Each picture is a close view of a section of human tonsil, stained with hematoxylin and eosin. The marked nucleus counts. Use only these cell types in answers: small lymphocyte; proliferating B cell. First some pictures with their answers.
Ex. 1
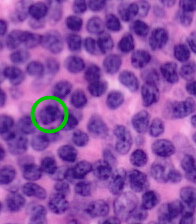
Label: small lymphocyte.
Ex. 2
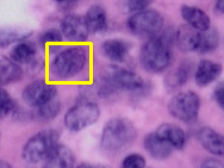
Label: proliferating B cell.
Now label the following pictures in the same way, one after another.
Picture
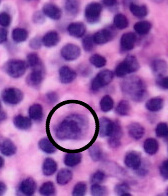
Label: proliferating B cell.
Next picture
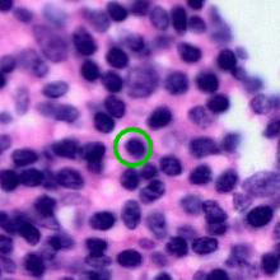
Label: small lymphocyte.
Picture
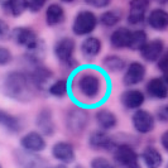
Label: small lymphocyte.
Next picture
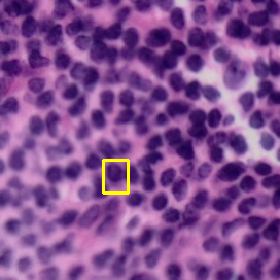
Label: small lymphocyte.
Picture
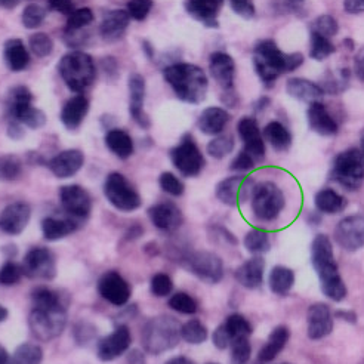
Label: proliferating B cell.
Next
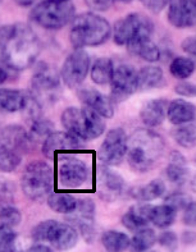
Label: proliferating B cell.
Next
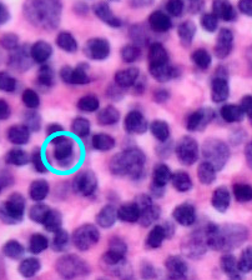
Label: small lymphocyte.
